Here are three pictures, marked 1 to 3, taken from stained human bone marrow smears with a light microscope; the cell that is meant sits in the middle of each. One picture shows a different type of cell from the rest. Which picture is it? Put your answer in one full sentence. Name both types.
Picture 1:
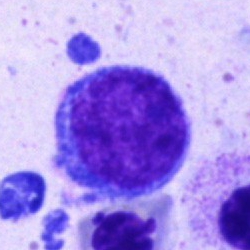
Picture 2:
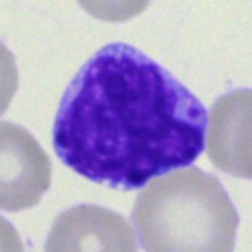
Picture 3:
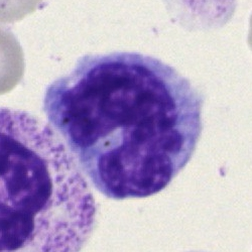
Picture 3 differs, because its cell is a monocyte and the rest are blasts.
